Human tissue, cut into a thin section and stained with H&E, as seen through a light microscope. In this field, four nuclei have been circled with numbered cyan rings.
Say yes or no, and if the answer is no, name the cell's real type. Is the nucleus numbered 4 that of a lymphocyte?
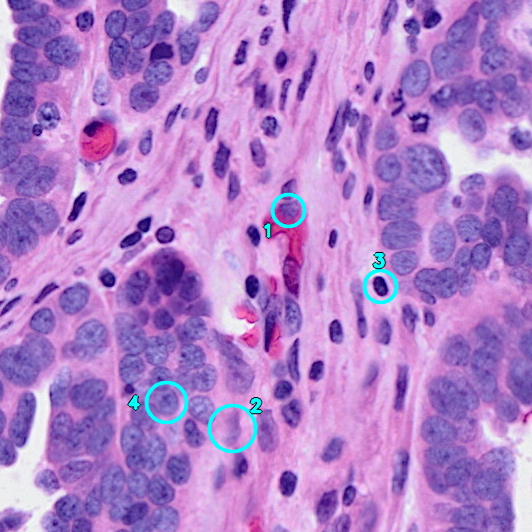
No, it is a carcinoma cell.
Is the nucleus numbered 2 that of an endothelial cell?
No, it is a fibroblast.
